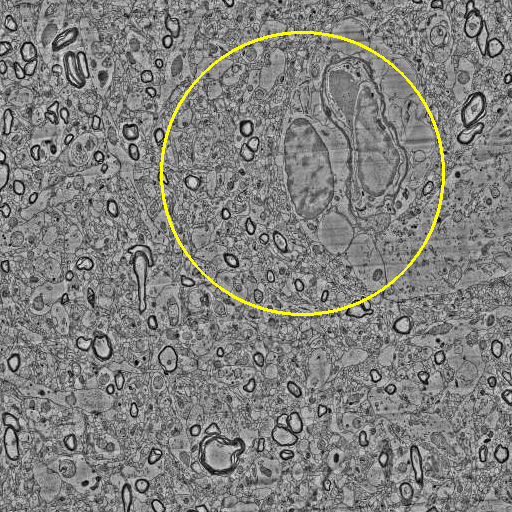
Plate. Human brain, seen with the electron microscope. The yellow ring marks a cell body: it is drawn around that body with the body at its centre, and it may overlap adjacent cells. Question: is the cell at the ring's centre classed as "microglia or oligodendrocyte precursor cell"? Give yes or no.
yes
